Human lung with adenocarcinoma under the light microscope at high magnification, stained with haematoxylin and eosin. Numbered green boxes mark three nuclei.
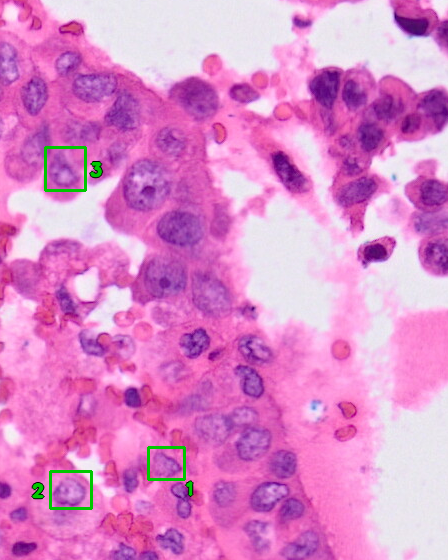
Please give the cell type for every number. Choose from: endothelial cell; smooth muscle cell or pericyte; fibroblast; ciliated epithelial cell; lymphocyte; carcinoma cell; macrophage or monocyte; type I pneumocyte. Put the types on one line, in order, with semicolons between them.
macrophage or monocyte; macrophage or monocyte; carcinoma cell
